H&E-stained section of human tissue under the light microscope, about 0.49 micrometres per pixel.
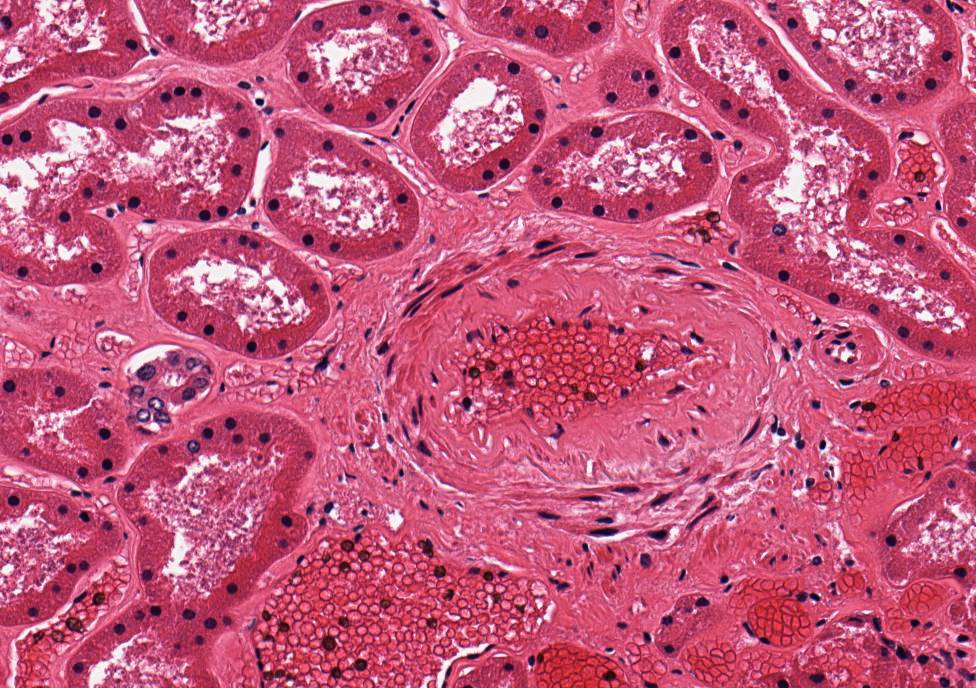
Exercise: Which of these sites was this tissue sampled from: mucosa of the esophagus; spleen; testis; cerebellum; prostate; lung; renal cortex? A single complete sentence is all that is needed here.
The tissue fragment was taken from the renal cortex.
